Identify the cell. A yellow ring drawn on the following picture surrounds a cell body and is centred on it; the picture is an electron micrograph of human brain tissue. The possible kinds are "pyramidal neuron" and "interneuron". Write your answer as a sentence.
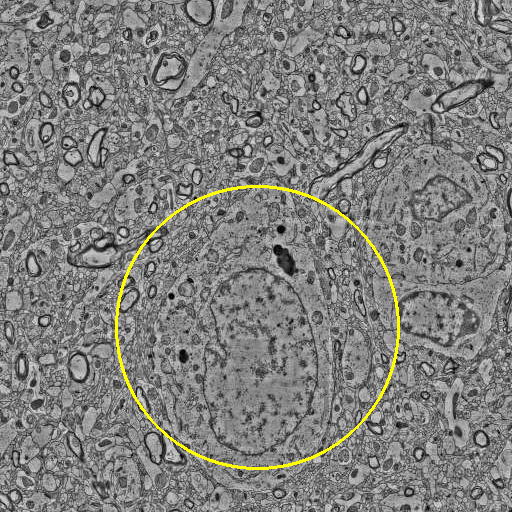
The cell identified by the ring is a pyramidal neuron.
